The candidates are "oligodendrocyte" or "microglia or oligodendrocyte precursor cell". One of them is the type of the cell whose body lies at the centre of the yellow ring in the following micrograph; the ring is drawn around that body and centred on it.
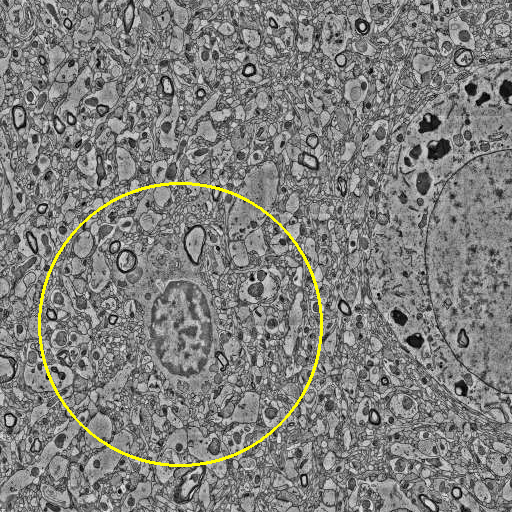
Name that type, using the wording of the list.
oligodendrocyte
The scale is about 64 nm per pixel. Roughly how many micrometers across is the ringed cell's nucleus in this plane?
In this plane, the nucleus of the cell at the centre of the ring measures about 6 by 4 micrometres.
